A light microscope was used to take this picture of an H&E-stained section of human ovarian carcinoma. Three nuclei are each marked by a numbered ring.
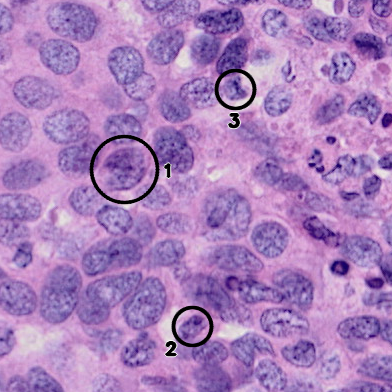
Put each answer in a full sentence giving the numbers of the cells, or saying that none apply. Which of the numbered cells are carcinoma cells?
Exactly one numbered cell is a carcinoma cell, and that cell is number 1.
